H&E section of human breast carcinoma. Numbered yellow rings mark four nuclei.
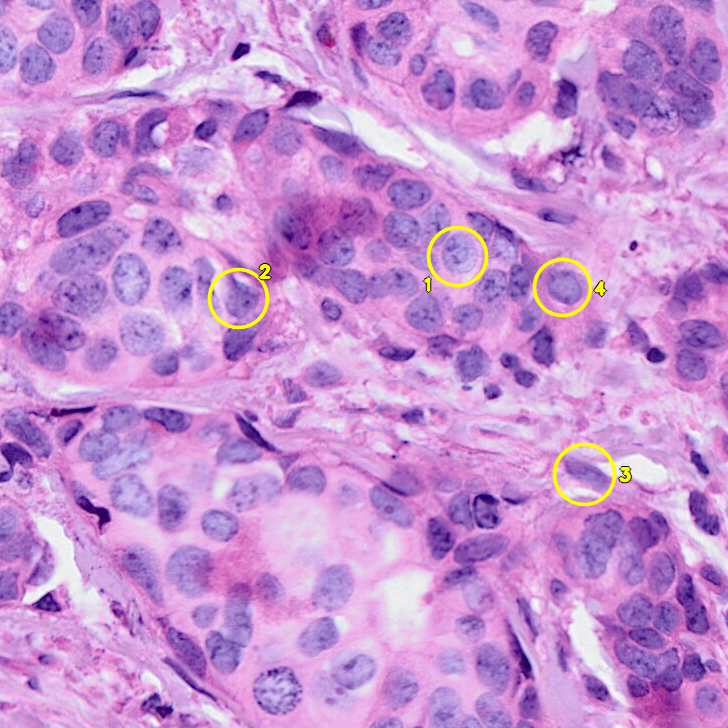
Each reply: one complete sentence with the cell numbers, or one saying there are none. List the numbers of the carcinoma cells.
The cells 1, 2 and 4 in this section are carcinoma cells.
